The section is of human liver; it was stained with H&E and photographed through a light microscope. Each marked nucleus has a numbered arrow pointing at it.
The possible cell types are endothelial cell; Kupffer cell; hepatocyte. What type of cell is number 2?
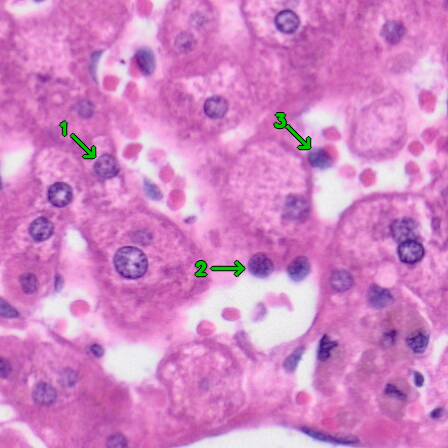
endothelial cell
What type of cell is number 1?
hepatocyte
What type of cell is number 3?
endothelial cell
